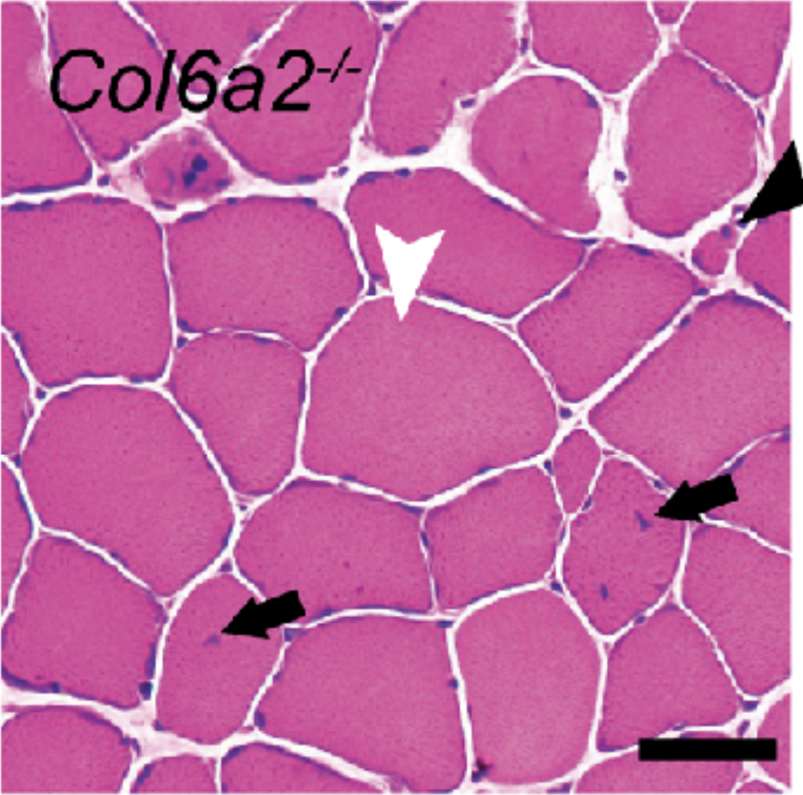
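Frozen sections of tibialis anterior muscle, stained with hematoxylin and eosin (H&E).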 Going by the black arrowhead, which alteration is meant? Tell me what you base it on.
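Myofiber atrophy. The black arrowhead points to a very small rounded fiber. It is much smaller than the neighbouring fibers.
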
